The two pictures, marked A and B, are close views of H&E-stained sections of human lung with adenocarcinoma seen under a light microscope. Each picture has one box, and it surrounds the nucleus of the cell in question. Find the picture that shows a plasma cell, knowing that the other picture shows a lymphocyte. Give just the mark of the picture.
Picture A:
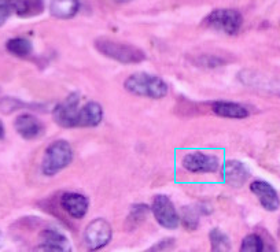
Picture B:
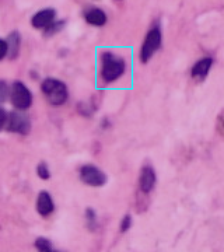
B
